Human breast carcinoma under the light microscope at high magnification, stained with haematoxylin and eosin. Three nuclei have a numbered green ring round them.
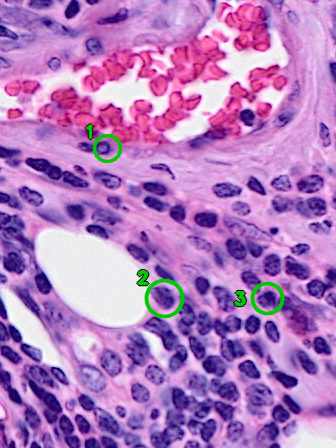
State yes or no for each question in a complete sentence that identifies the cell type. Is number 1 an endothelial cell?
Yes, the cell numbered 1 in this tissue is an endothelial cell.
